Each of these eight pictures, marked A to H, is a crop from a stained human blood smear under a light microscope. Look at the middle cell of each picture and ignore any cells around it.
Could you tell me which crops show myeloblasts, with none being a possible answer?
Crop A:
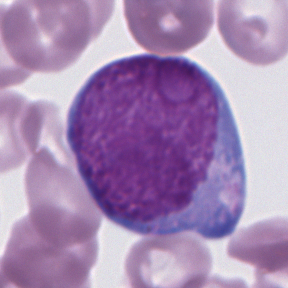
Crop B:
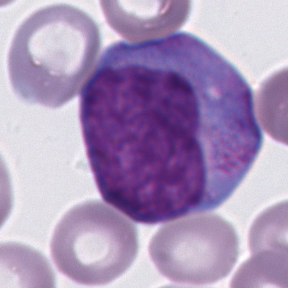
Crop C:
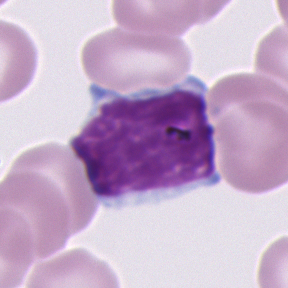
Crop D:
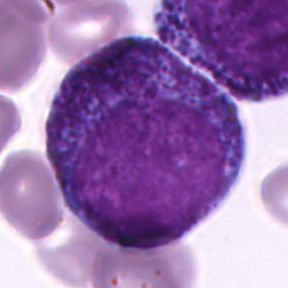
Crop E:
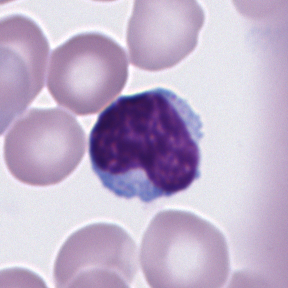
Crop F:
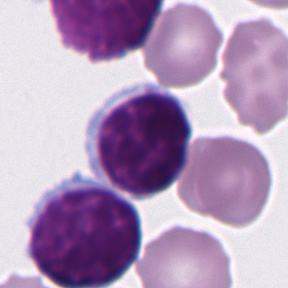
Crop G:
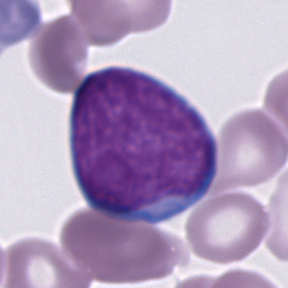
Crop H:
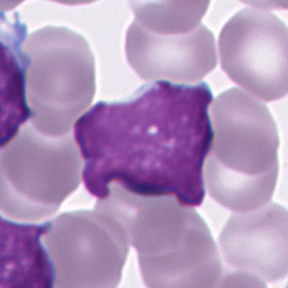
A, G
